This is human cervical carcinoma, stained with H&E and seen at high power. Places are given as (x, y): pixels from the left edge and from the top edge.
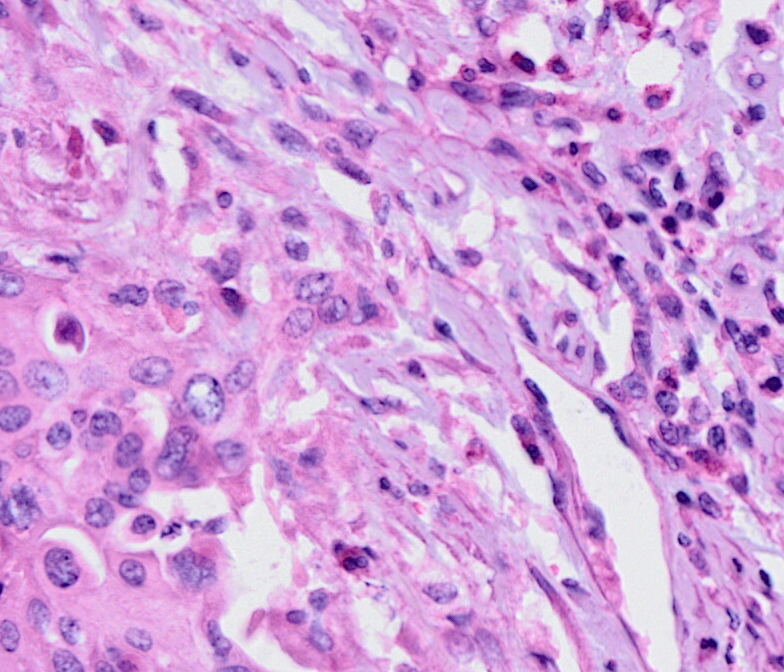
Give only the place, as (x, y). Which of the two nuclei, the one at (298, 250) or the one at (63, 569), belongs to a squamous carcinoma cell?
(63, 569)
